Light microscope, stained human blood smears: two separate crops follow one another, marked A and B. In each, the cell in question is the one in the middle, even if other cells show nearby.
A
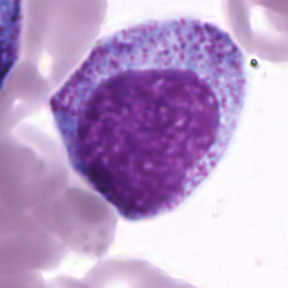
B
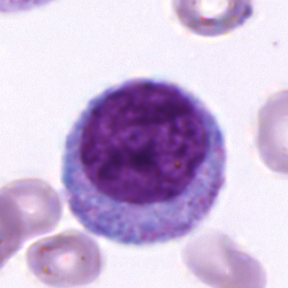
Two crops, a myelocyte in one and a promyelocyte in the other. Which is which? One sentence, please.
So, crop A is a promyelocyte, and crop B is a myelocyte.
